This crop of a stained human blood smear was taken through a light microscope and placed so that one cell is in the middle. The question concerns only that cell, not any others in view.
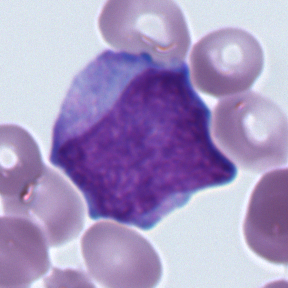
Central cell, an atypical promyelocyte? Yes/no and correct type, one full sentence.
Yes, the cell that occupies the centre is an atypical promyelocyte.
